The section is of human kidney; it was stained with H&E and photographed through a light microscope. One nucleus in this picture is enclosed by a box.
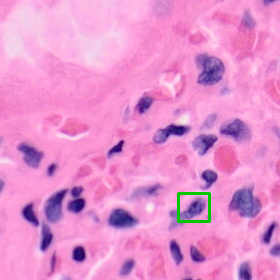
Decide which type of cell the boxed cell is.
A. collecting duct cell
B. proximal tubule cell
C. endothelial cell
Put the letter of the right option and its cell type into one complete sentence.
Option C, which has the boxed cell as an endothelial cell, is the correct choice.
